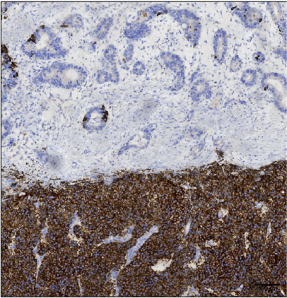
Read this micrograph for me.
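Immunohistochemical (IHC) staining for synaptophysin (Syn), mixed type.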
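This section shows a tumour with two parts that stain very differently. The lower half is a solid sheet of tumour cells whose cytoplasm is diffusely and strongly brown. This sheet is crossed by thin, pale, blue-counterstained strands of stroma.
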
